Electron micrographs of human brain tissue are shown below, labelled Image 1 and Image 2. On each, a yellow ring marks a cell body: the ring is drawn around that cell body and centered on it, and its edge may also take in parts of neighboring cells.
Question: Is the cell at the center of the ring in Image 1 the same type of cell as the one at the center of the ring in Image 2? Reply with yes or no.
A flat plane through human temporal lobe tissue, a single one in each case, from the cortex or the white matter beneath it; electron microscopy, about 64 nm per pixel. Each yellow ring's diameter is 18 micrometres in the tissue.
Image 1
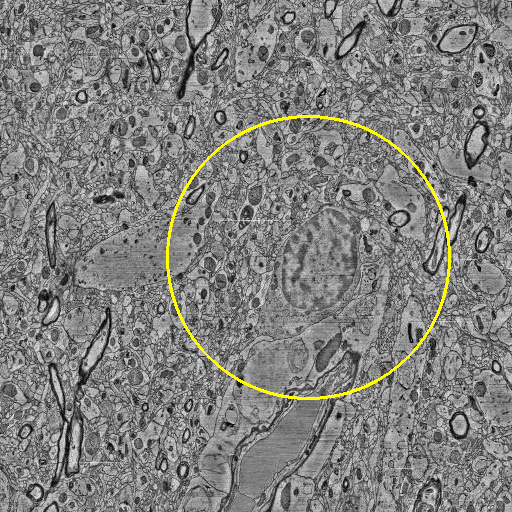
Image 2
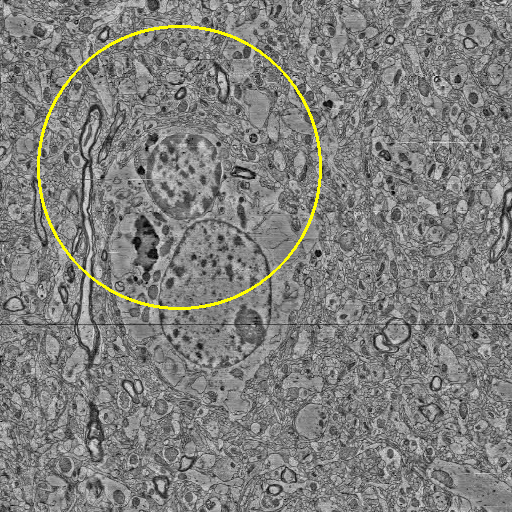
yes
